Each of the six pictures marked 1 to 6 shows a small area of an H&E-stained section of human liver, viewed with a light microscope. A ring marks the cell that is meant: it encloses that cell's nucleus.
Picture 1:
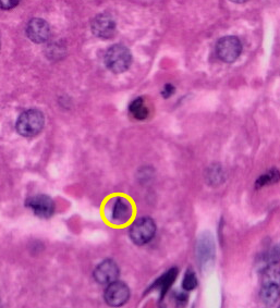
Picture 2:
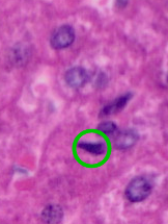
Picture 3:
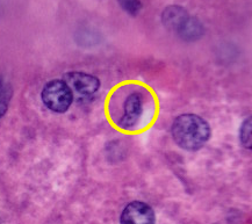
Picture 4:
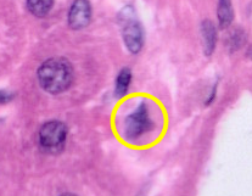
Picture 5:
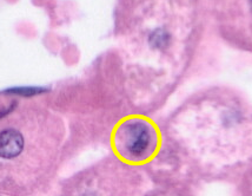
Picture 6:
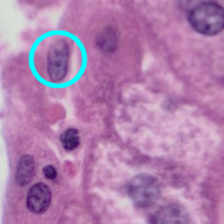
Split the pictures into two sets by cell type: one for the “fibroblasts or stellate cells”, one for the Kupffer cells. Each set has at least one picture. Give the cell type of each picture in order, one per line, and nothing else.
fibroblast or stellate cell
fibroblast or stellate cell
Kupffer cell
fibroblast or stellate cell
fibroblast or stellate cell
Kupffer cell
